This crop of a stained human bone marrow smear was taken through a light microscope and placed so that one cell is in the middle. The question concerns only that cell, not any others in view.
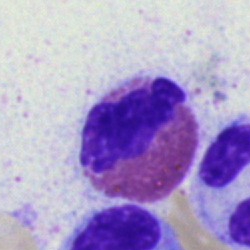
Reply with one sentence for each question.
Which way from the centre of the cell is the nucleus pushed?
Seen from the middle of the cell, the nucleus lies toward the upper left.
